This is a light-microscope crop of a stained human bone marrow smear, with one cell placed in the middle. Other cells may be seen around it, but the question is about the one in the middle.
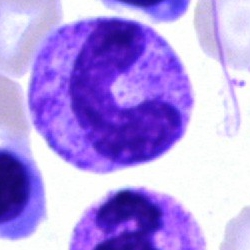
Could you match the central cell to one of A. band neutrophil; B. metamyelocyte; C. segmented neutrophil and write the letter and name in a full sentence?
Option A is right in identifying the central cell as a band neutrophil.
